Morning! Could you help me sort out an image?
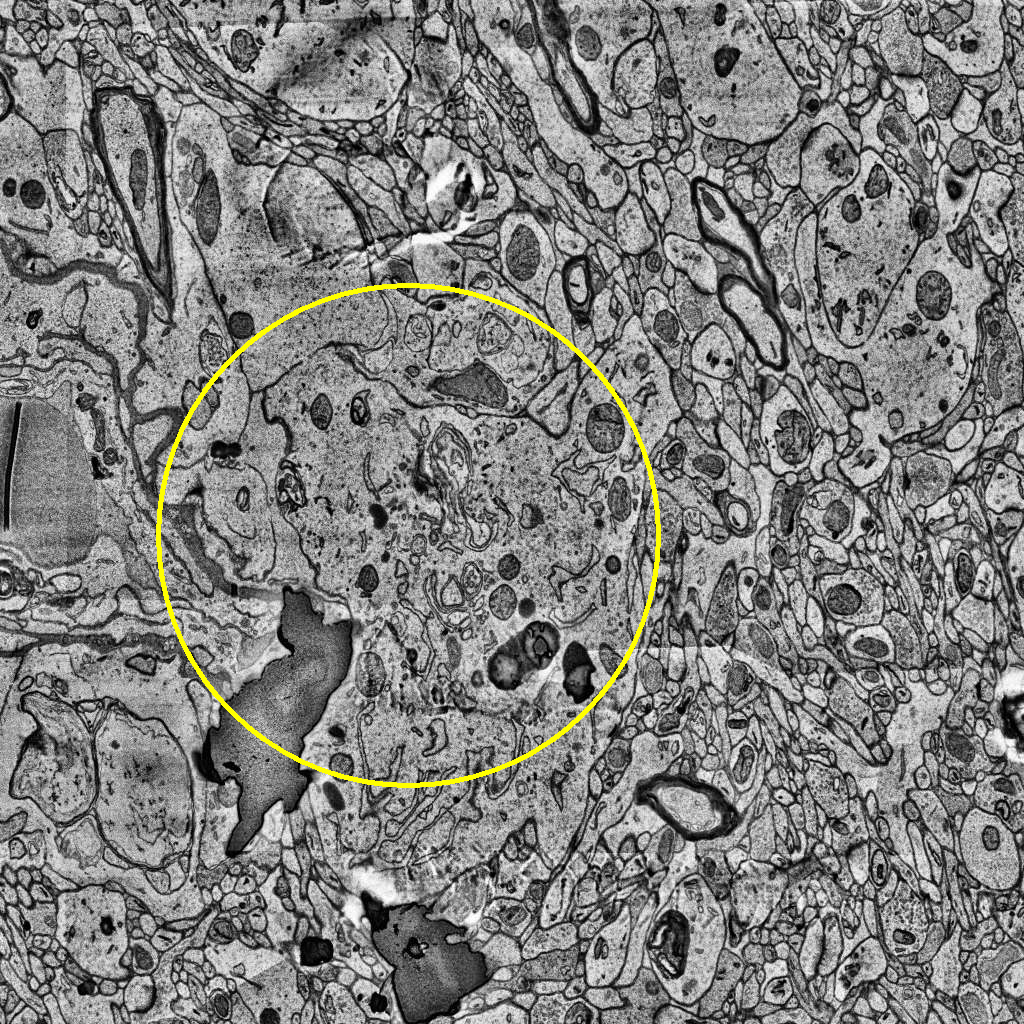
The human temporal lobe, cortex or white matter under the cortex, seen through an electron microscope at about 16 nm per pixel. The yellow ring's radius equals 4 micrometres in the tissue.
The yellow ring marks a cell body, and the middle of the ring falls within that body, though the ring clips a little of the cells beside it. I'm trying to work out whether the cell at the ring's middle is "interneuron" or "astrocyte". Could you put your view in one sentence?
The cell body at the ring's middle is that of an interneuron.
